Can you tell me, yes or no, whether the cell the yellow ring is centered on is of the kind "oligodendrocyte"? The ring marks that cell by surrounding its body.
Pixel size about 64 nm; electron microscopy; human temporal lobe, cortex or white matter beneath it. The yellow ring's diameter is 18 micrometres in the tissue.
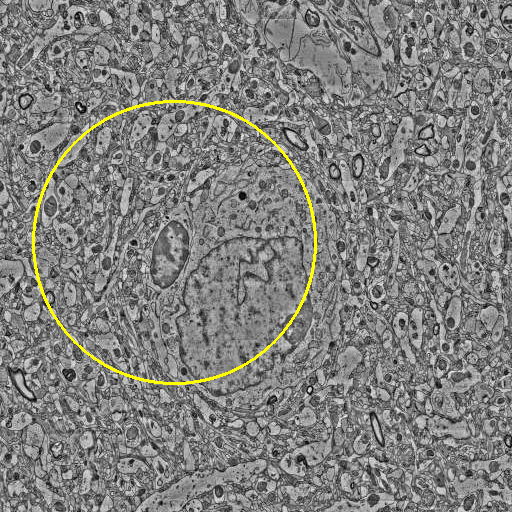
no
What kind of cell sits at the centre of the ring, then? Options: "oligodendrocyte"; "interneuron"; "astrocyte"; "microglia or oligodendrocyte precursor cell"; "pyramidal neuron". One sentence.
This picture has a microglial cell or oligodendrocyte precursor cell at the centre of its ring.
